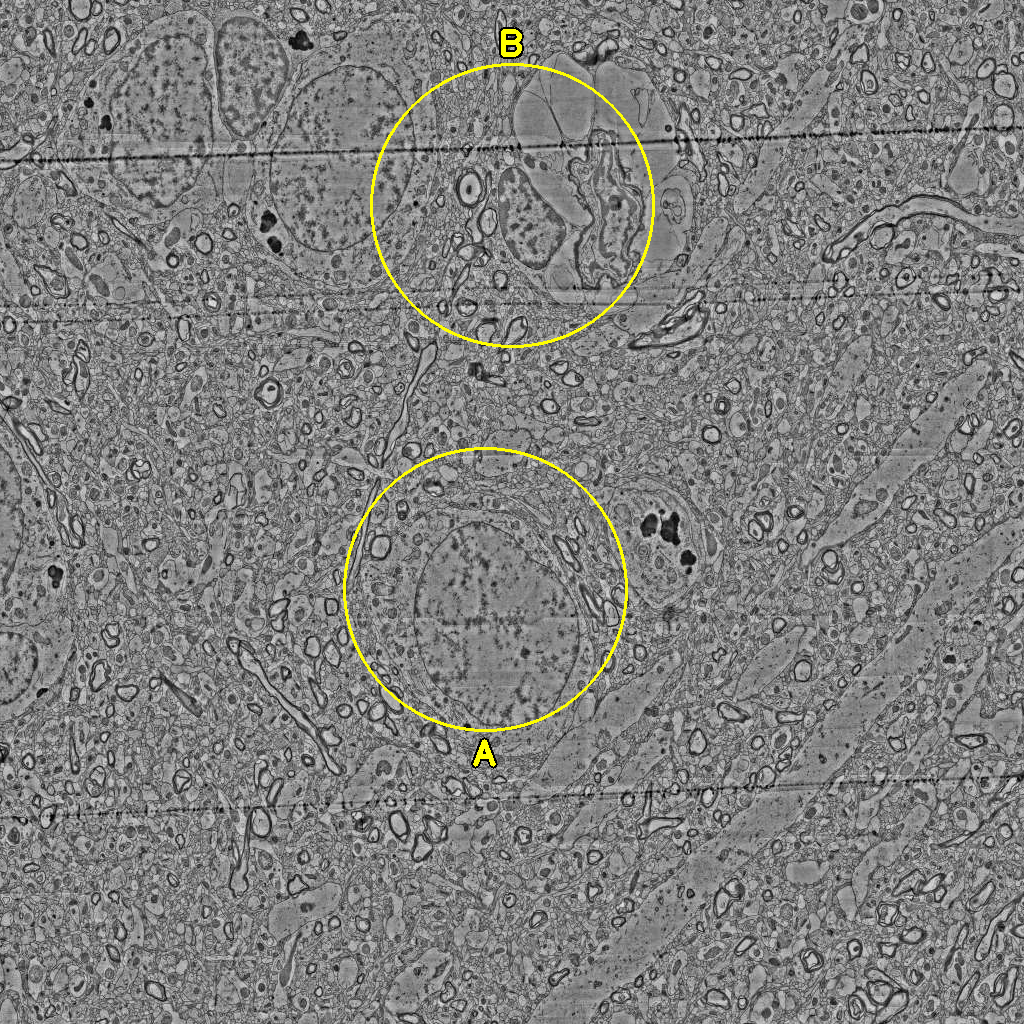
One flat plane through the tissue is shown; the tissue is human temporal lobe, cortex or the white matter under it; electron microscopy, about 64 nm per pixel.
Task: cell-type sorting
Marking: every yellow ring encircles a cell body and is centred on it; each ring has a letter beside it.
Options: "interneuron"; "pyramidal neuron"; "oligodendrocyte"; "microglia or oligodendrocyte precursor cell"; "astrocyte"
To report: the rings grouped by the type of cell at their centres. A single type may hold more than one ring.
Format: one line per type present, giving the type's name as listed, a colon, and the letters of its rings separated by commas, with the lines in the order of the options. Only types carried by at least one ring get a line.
pyramidal neuron: A
microglia or oligodendrocyte precursor cell: B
